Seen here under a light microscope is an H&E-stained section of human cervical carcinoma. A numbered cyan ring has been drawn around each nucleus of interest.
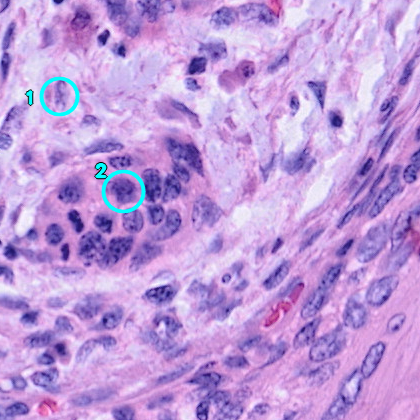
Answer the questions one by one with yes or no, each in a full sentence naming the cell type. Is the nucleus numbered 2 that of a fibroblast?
No, with respect, cell 2 is a squamous carcinoma cell rather than a fibroblast.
